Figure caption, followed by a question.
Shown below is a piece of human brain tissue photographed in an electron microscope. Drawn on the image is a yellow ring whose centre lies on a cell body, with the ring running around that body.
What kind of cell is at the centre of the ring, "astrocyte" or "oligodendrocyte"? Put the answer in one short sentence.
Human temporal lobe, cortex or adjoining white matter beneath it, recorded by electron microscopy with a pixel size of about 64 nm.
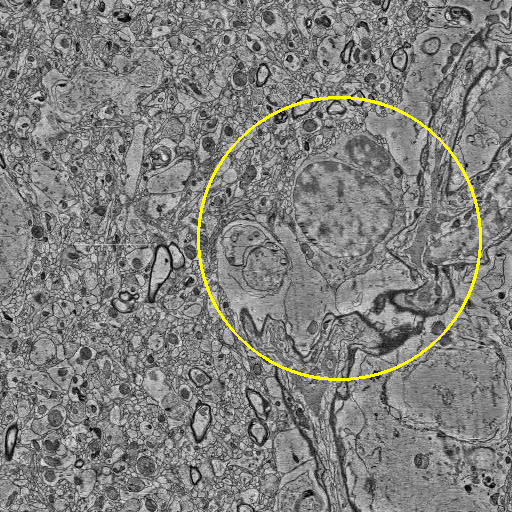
The ring marks the cell body of an oligodendrocyte.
